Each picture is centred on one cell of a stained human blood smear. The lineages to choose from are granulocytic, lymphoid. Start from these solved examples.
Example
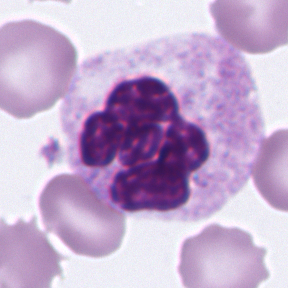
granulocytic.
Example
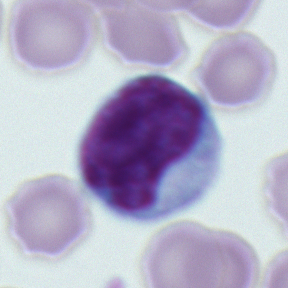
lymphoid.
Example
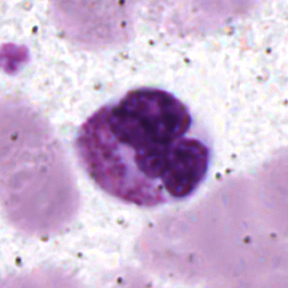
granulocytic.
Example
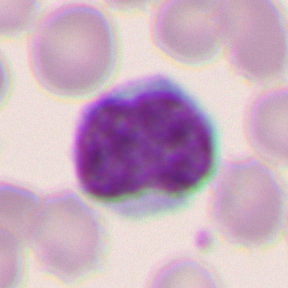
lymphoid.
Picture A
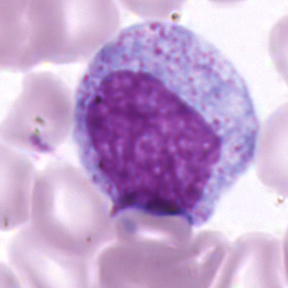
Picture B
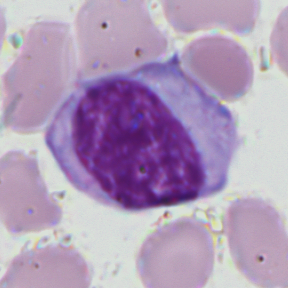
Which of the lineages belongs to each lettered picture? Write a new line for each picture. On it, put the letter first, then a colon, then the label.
A: granulocytic.
B: lymphoid.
